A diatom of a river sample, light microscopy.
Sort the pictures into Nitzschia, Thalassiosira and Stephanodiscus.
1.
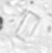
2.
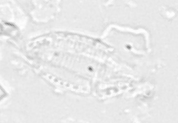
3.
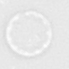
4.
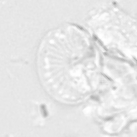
Thalassiosira: 1, 3
Nitzschia: 2
Stephanodiscus: 4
